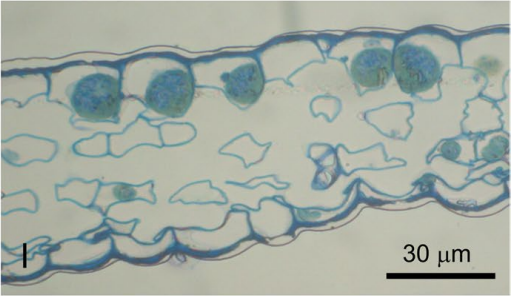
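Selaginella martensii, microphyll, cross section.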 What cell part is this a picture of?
giant globular chloroplast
